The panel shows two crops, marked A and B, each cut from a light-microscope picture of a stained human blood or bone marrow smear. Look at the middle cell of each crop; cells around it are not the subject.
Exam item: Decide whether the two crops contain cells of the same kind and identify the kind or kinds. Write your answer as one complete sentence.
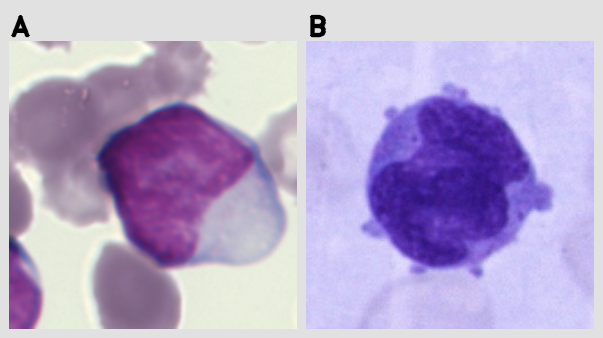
No, crop A is where a blast is shown, and crop B is where a monocyte is shown.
